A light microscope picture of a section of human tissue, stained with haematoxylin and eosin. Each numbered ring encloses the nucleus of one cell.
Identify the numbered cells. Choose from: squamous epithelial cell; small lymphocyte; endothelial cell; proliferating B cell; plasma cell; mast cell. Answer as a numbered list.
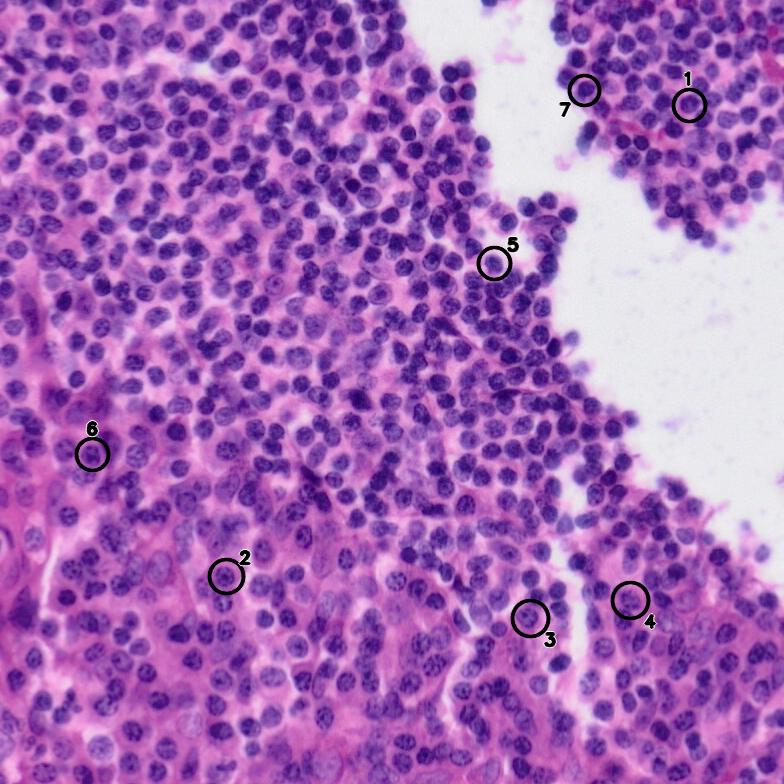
1. small lymphocyte
2. plasma cell
3. plasma cell
4. plasma cell
5. small lymphocyte
6. plasma cell
7. small lymphocyte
